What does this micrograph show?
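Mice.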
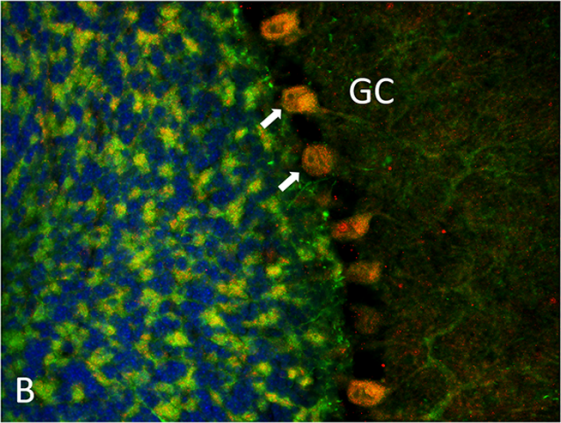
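These are Purkinje cells at the border of a dense cell layer. On one side lies a crowded layer of small cells with blue nuclei and yellow-green dots between them; on the other lies a paler layer traversed by fine green fibres. Along the boundary runs a single row of large, oval cell bodies spaced at fairly regular intervals, each much bigger than the small cells beside them. Their cytoplasm is orange, and a rounded nucleus can be made out in several. Dark gaps separate the large cell bodies from one another along the row.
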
